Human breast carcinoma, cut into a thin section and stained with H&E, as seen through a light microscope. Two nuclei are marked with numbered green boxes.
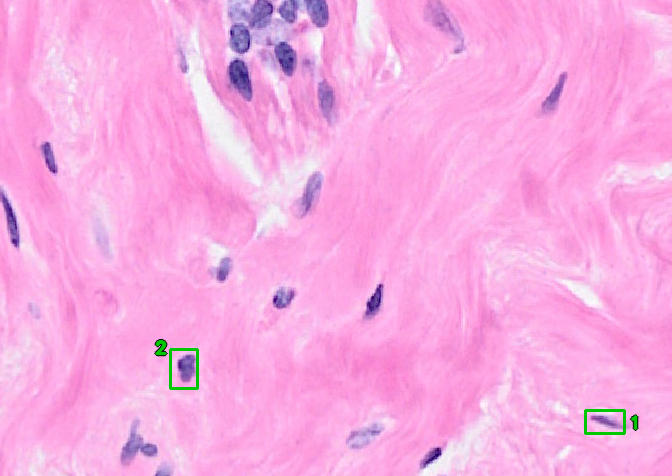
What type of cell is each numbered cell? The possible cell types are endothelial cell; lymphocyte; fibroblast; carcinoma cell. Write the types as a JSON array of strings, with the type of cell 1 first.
["fibroblast", "lymphocyte"]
